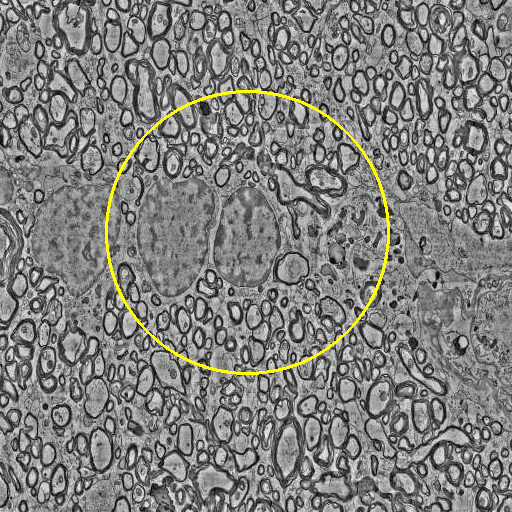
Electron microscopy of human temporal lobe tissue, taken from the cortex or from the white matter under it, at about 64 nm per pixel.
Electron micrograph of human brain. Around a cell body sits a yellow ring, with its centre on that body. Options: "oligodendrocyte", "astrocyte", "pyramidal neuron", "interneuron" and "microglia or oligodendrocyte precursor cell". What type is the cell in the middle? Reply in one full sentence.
The cell sitting at the centre of the yellow ring is a microglial cell or oligodendrocyte precursor cell.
